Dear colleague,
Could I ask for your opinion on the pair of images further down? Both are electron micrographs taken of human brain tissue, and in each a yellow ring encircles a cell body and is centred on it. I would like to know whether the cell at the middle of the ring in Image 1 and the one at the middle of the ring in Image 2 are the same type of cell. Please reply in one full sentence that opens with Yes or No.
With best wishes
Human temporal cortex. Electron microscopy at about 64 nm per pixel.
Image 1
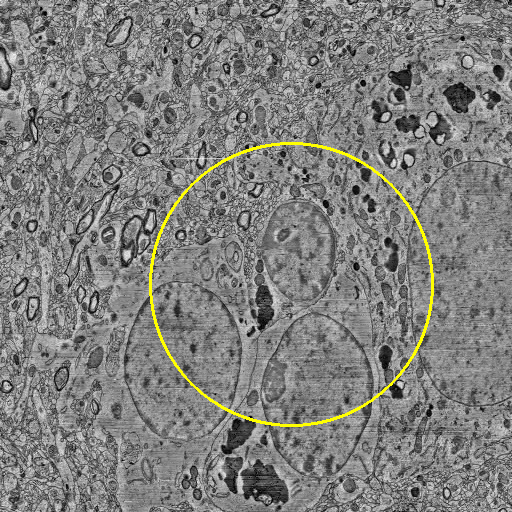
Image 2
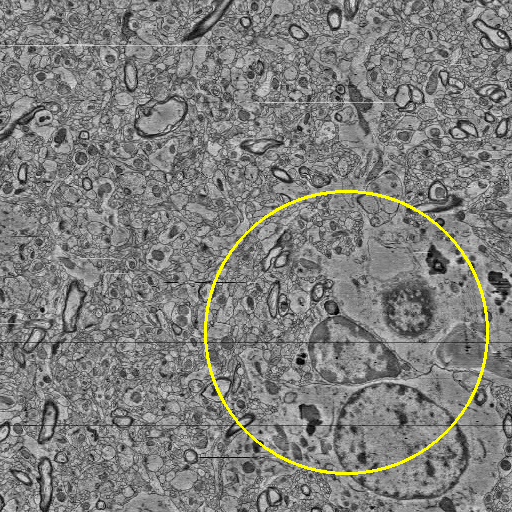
Yes, the cells at the ring centres in Image 1 and Image 2 are of one type.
